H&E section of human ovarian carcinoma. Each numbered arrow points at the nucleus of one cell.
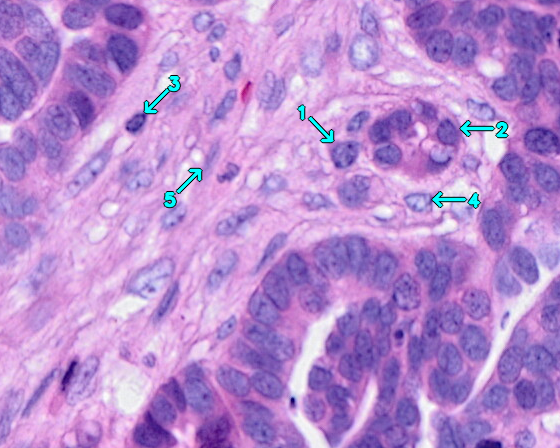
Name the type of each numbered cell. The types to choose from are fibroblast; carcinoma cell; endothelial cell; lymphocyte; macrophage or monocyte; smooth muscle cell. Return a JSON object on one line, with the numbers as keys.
{"1": "macrophage or monocyte", "2": "carcinoma cell", "3": "lymphocyte", "4": "fibroblast", "5": "fibroblast"}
